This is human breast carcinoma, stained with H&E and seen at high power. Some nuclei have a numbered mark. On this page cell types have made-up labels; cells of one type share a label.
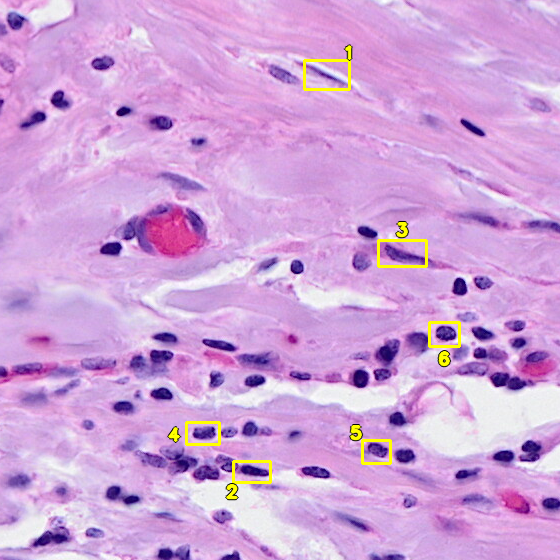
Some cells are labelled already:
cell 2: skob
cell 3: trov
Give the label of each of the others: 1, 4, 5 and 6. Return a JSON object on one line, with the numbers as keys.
{"1": "trov", "4": "skob", "5": "skob", "6": "skob"}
